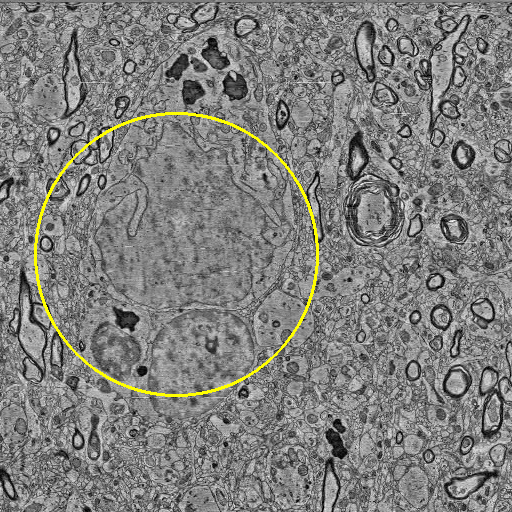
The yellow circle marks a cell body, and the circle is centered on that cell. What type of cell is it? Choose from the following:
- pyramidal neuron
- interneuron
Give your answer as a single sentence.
This cell body belongs to an interneuron.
